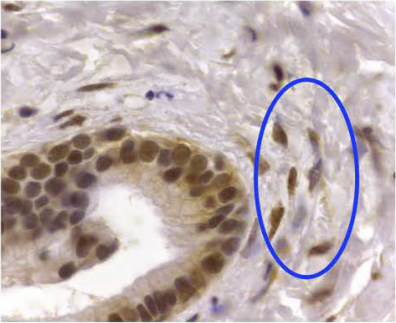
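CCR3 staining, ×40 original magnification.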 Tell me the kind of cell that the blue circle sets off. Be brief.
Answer: fibroblasts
